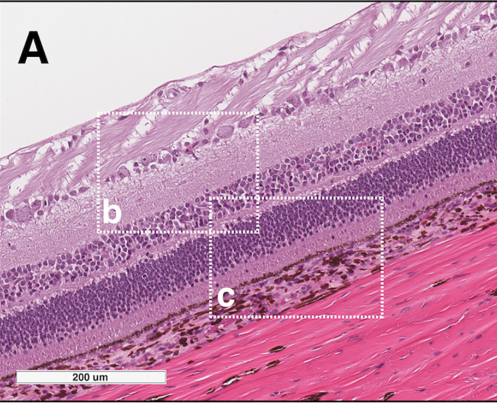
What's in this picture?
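Retina with orderly, parallel layers lies over a pigmented layer and pink fibrous tissue. Toward the inner surface are scattered larger cells and a pale fibrillar layer. Below these are a band of purple nuclei and then a thicker band of densely packed, small, dark round nuclei. Beneath the retina, a thin line of brown pigment and pigmented choroid rest on pink, elongated fibrous bundles.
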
